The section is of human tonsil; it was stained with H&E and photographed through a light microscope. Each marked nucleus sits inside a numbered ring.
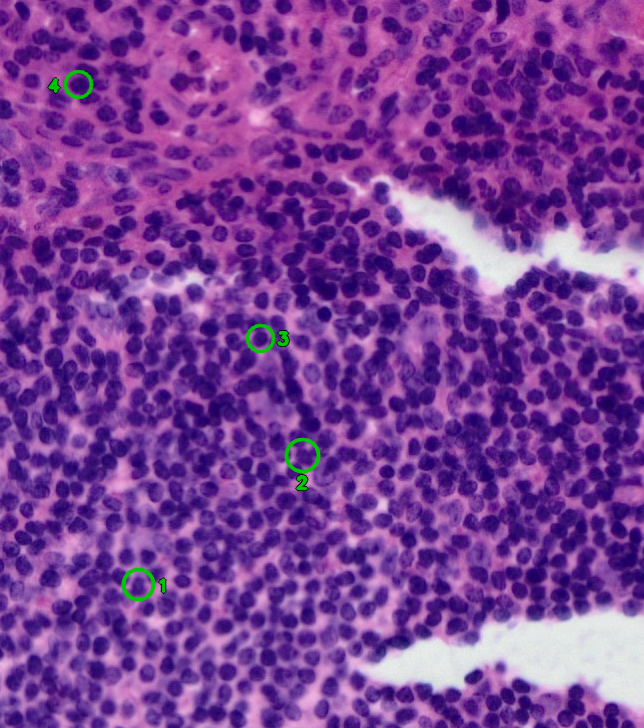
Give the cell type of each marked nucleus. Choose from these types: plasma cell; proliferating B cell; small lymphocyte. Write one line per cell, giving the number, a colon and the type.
1: small lymphocyte
2: small lymphocyte
3: small lymphocyte
4: plasma cell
